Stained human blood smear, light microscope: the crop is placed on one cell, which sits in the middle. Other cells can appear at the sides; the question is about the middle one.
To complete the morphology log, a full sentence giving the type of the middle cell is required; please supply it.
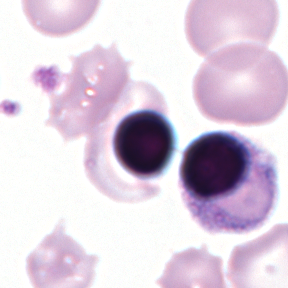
The middle cell in this particular crop is a normoblast.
